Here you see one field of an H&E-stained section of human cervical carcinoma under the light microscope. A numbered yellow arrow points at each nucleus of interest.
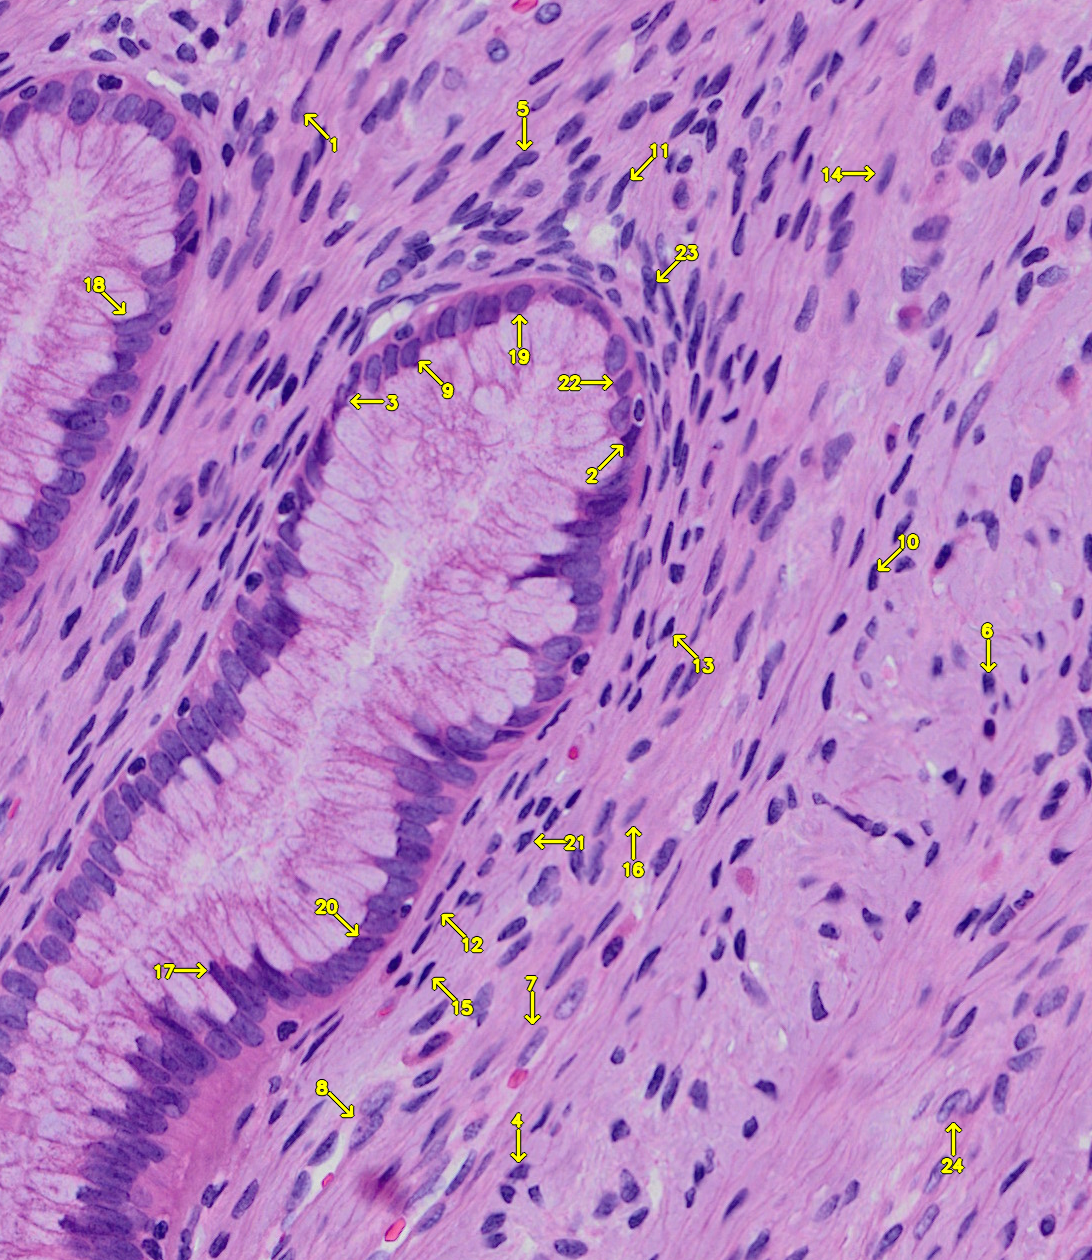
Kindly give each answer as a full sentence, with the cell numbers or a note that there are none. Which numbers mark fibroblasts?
The cells to which the numbers 1, 4, 5, 6, 10, 11, 12, 13, 14, 15, 16, 21 and 23 refer are fibroblasts.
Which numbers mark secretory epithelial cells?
The cells carrying labels 2, 3, 9, 17, 18, 19, 20 and 22 are secretory epithelial cells.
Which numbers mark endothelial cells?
Cells that were given the numbers 7 and 8 are endothelial cells.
